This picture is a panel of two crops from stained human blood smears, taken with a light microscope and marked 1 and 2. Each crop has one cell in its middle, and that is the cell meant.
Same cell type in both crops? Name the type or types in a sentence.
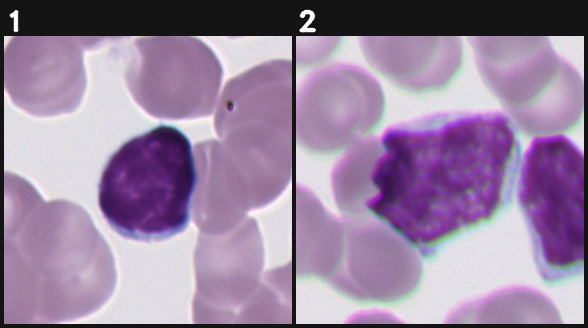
Yes, both crops show lymphocytes at their middles.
